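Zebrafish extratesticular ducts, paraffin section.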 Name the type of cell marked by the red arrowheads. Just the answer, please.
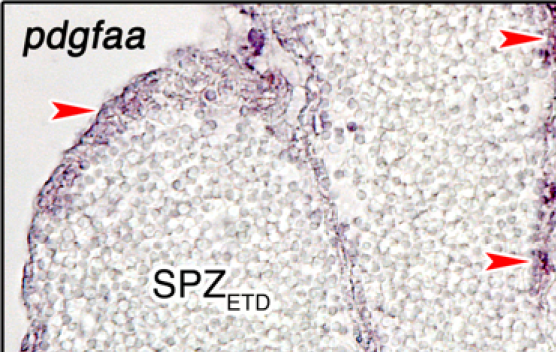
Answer: Epithelial cells.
